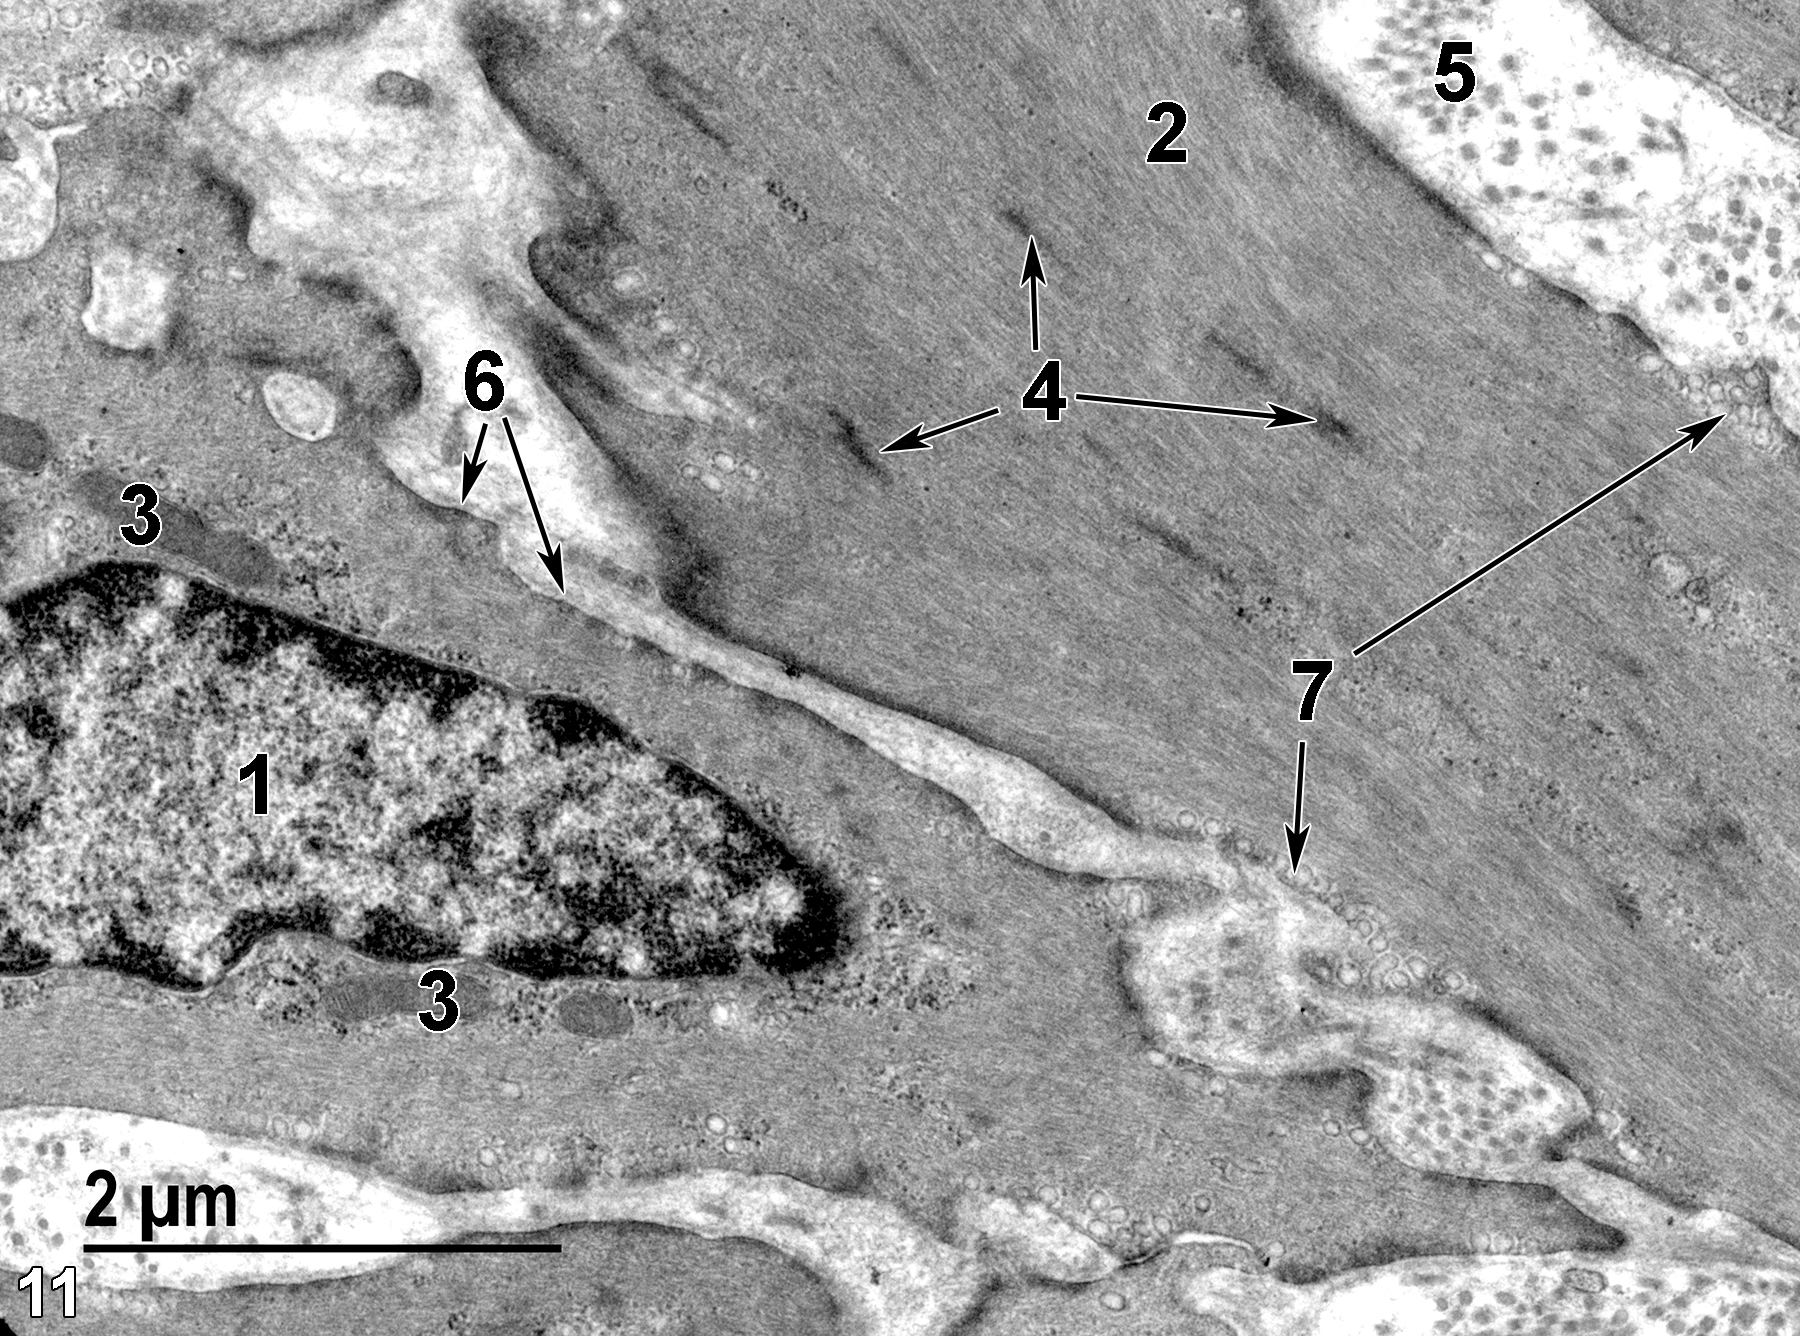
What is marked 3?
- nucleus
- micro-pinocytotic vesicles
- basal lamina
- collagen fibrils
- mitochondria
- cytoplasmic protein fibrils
mitochondria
